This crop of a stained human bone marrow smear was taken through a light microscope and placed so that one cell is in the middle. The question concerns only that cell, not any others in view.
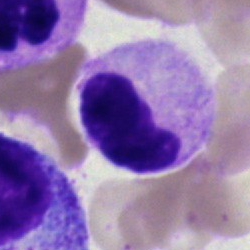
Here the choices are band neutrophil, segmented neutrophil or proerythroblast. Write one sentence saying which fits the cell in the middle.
The centered cell in this crop is a band neutrophil.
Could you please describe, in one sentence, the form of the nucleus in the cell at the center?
A single compact nucleus is present, shaped round, oval or like a kidney.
